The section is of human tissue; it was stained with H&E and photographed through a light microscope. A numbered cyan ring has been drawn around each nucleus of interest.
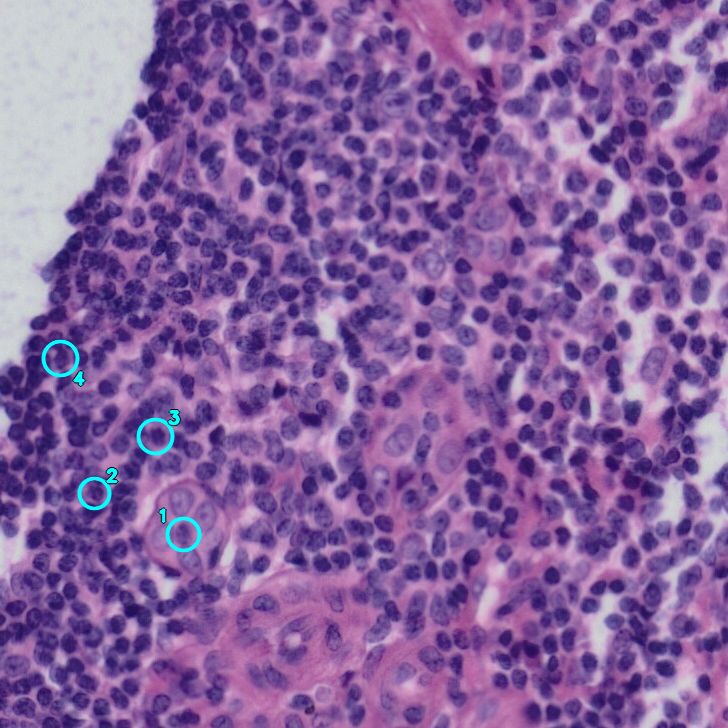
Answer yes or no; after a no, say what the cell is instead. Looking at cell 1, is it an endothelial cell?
Yes.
